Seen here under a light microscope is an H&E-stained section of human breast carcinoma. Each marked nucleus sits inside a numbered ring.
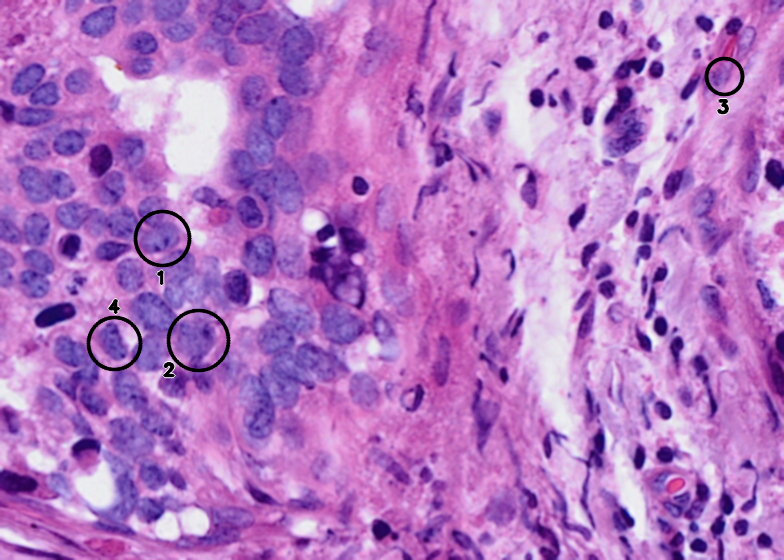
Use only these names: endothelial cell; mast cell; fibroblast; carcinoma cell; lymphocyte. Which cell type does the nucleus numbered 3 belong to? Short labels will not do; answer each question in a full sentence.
Regarding cell 3, this one is an endothelial cell.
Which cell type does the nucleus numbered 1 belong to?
The cell identified by the number 1 is a carcinoma cell.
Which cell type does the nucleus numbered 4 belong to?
The cell that goes by number 4 is a carcinoma cell.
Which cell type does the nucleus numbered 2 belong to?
The nucleus marked 2 is the nucleus of a carcinoma cell.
